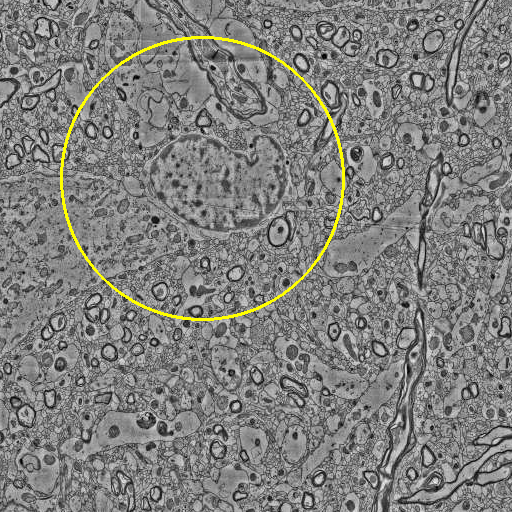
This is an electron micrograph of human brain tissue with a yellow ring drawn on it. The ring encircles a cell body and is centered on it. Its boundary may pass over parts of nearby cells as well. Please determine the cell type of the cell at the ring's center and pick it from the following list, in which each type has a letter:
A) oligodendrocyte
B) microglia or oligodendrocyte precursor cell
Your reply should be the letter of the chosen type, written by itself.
B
